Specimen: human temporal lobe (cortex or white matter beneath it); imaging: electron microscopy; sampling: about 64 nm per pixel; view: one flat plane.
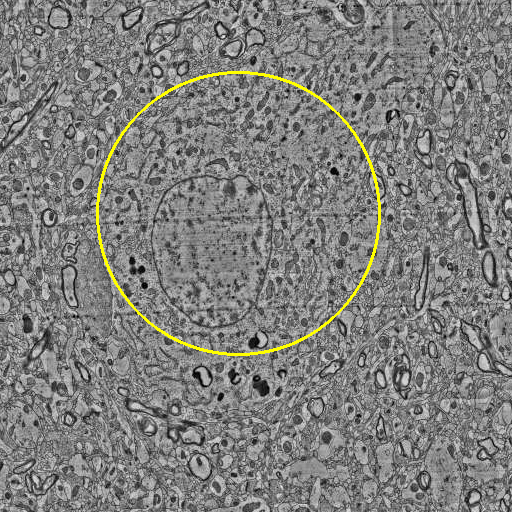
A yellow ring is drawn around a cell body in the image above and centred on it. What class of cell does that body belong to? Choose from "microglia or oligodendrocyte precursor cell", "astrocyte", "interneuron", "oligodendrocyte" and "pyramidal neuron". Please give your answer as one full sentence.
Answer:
The yellow ring above is centred on the cell body of a pyramidal neuron.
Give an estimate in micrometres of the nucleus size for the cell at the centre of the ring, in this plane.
In this plane the nucleus is about 10 micrometres by 8.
